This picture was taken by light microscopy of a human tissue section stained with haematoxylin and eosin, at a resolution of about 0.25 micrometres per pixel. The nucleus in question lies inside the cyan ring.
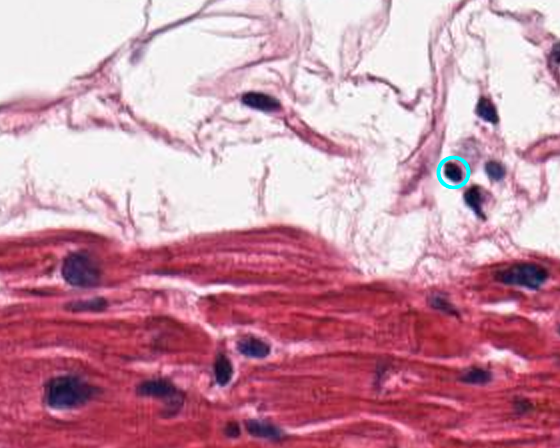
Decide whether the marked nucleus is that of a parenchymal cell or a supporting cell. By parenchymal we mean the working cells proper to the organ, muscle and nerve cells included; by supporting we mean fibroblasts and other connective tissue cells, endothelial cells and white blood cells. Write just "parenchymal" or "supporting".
supporting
